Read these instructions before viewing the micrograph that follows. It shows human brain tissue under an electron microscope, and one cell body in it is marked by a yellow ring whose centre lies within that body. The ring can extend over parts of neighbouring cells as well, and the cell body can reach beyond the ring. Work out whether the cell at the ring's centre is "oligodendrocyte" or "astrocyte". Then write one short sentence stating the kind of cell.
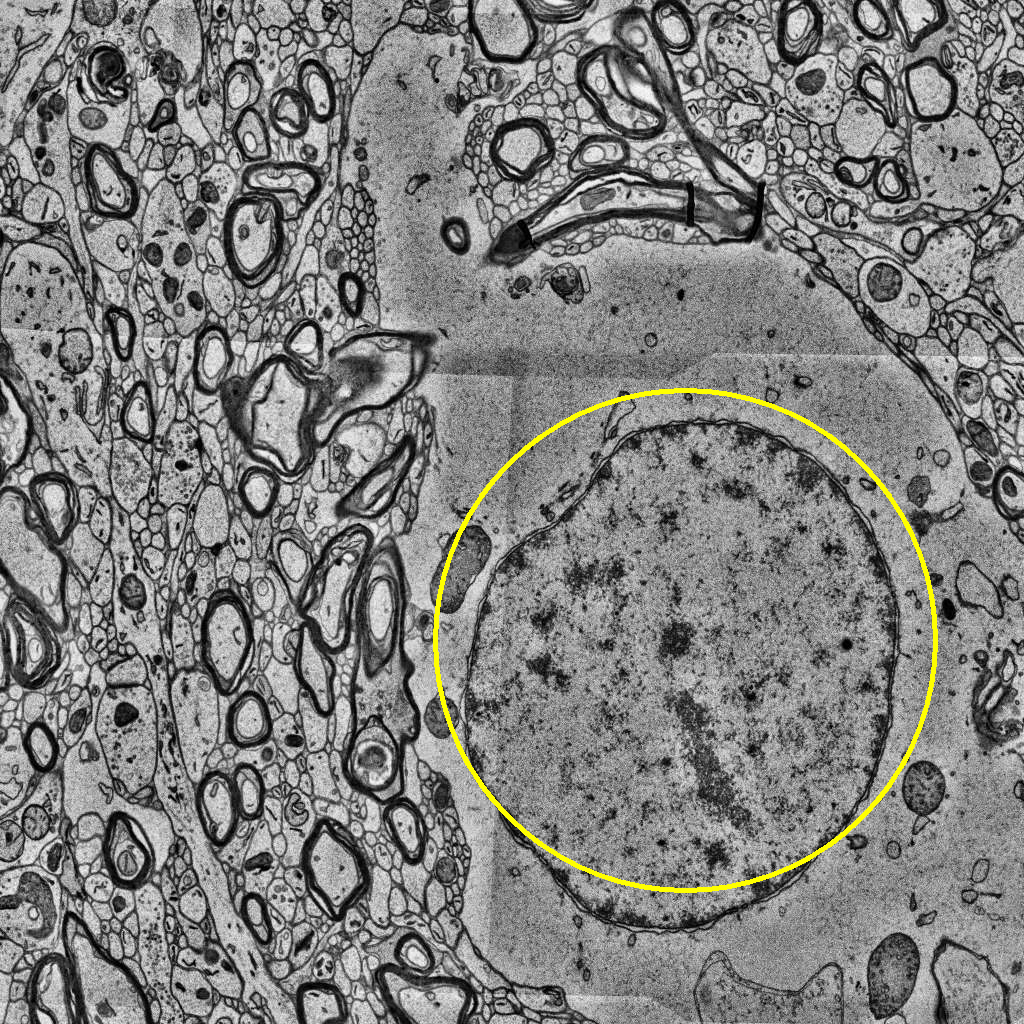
The cell at the ring's centre is an astrocyte.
